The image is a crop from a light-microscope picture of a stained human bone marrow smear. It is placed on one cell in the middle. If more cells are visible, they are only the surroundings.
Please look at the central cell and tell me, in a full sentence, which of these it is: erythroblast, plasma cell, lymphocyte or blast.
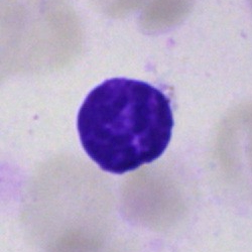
The cell positioned in the middle of the field is a lymphocyte.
